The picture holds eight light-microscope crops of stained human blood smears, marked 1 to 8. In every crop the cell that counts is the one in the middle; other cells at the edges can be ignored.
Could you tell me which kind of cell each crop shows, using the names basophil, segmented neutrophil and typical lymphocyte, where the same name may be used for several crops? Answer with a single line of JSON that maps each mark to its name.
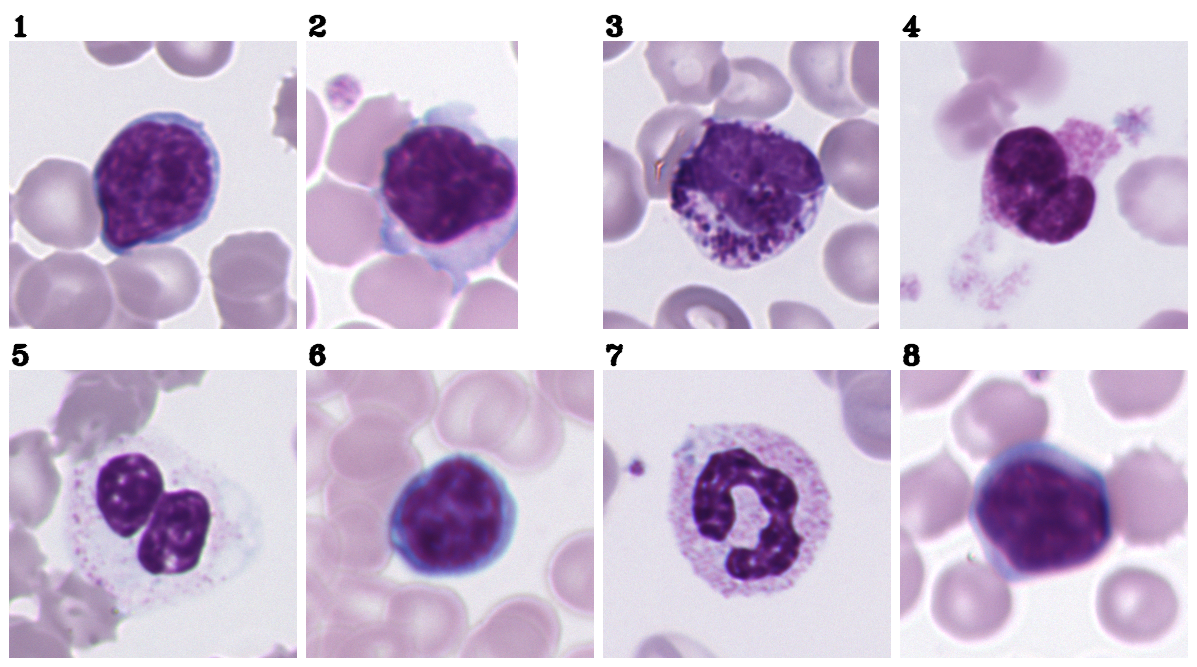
{"1": "typical lymphocyte", "2": "typical lymphocyte", "3": "basophil", "4": "segmented neutrophil", "5": "segmented neutrophil", "6": "typical lymphocyte", "7": "segmented neutrophil", "8": "typical lymphocyte"}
